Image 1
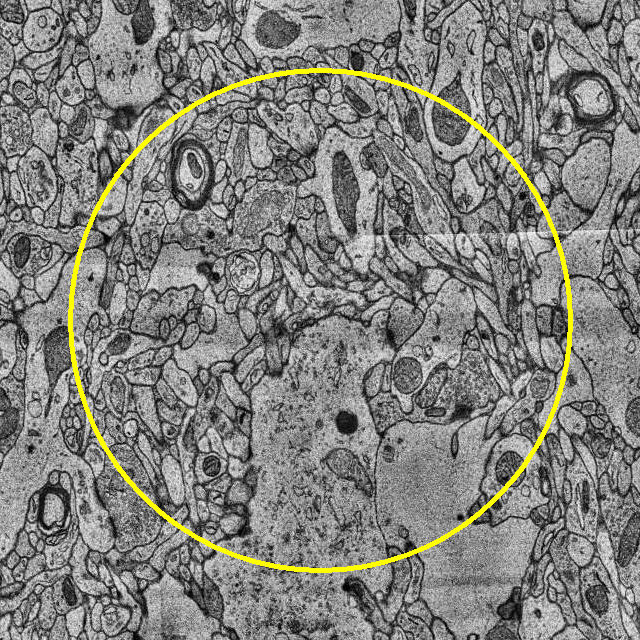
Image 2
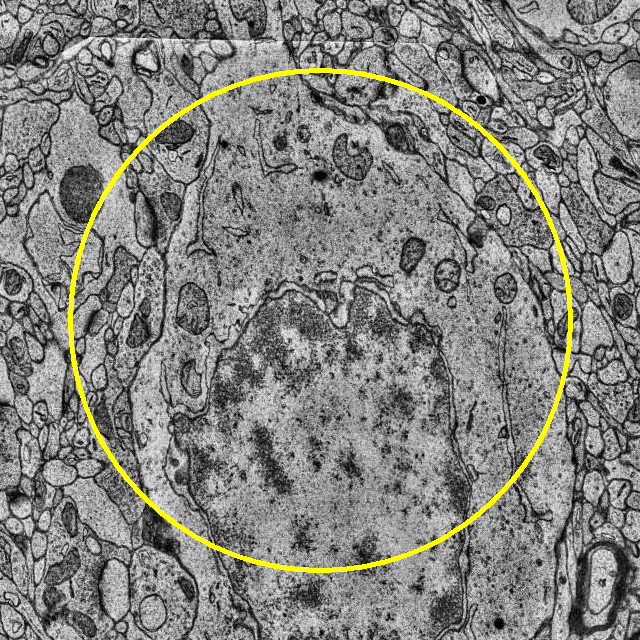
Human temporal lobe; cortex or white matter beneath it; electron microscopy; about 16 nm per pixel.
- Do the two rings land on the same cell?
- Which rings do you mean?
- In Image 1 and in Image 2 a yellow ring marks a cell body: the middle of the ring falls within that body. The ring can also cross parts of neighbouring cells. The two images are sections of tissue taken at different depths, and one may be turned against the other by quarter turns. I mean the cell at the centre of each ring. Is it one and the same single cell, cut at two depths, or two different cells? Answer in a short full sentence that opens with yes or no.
No, these are two different cells, each marked with a ring.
